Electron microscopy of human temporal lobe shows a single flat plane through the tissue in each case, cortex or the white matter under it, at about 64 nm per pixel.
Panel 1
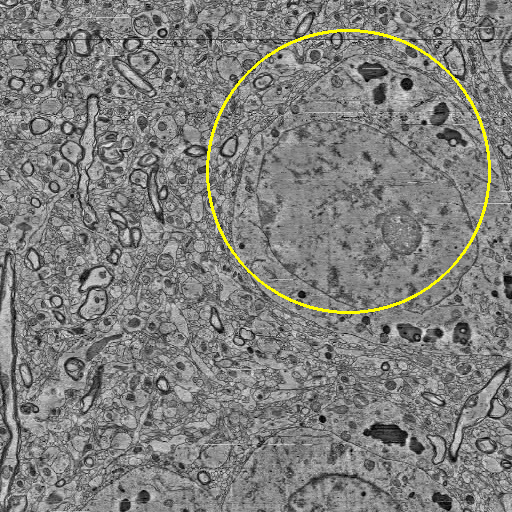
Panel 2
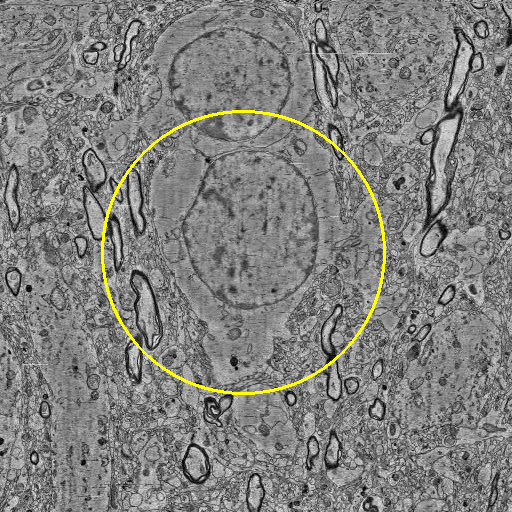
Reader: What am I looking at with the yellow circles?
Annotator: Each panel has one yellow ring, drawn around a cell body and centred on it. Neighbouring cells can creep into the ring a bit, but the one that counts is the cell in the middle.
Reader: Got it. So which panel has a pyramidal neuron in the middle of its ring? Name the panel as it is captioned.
Panel 1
